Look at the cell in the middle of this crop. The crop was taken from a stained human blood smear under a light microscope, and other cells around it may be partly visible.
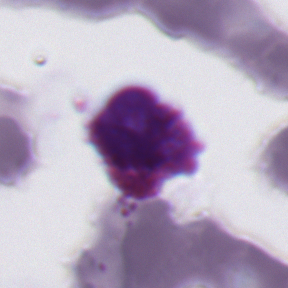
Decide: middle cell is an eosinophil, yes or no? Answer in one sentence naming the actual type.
Yes, in the centre of this field sits an eosinophil.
